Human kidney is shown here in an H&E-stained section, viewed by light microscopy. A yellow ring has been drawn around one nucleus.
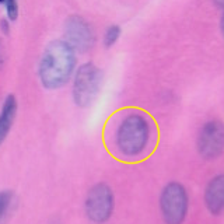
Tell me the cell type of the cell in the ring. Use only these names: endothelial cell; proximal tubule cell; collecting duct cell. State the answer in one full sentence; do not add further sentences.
Cytologically, the cell in the ring is to be regarded as a proximal tubule cell.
